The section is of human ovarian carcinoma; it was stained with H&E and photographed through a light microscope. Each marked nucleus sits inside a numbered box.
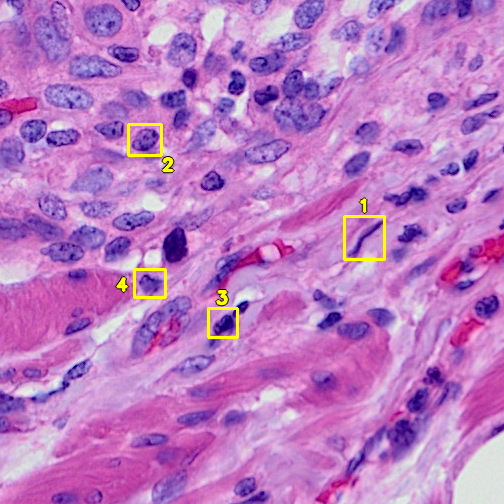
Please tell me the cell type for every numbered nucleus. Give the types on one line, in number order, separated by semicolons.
fibroblast; macrophage or monocyte; lymphocyte; macrophage or monocyte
